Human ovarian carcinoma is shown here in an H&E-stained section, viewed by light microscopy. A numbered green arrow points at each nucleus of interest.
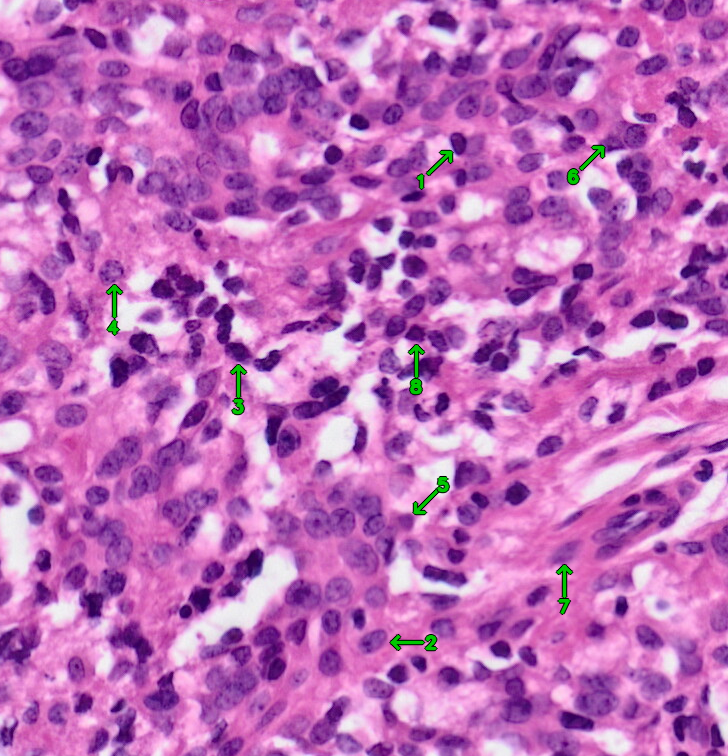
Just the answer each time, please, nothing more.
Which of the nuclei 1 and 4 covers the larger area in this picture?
4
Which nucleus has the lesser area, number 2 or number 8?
8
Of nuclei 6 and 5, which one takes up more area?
6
